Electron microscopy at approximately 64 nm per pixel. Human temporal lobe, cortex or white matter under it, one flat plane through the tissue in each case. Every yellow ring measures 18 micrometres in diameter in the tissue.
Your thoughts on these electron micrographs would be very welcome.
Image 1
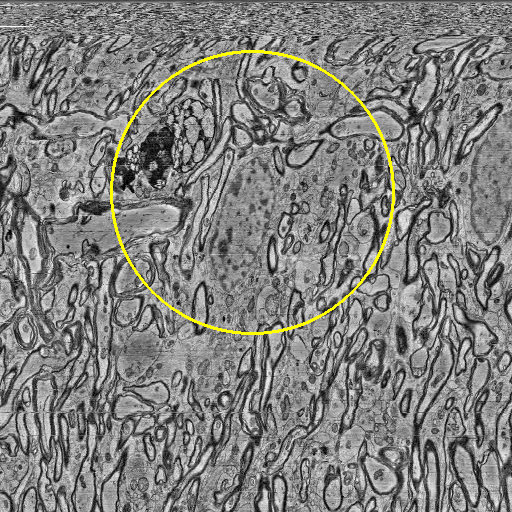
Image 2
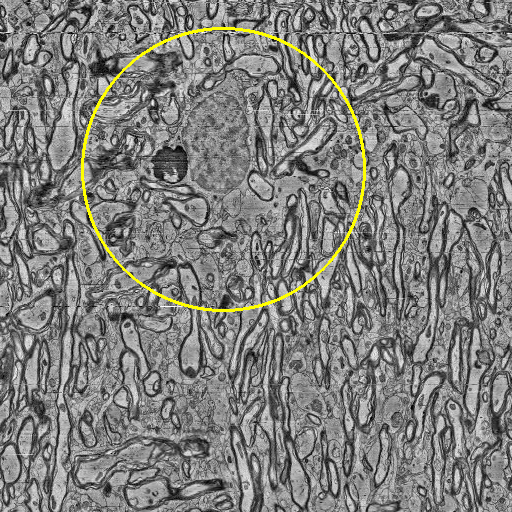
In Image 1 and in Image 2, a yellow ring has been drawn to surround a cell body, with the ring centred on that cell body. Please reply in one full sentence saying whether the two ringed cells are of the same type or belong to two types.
The ringed cells in Image 1 and Image 2 belong to two types.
